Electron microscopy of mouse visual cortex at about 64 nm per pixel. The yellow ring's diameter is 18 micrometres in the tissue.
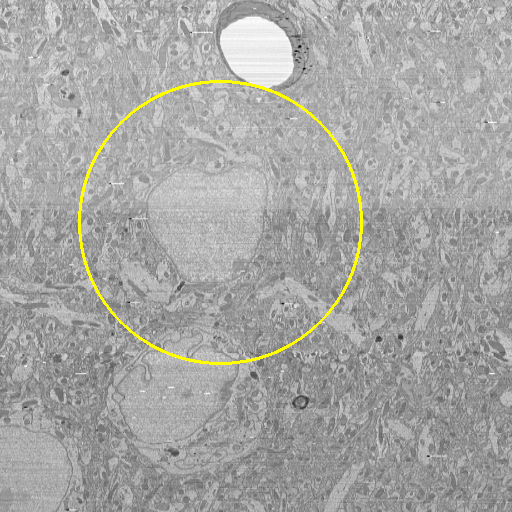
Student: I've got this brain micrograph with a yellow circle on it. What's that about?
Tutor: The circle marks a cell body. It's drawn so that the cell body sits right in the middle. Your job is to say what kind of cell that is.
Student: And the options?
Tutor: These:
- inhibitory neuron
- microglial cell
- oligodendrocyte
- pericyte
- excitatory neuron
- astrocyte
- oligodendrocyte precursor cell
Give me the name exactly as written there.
astrocyte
